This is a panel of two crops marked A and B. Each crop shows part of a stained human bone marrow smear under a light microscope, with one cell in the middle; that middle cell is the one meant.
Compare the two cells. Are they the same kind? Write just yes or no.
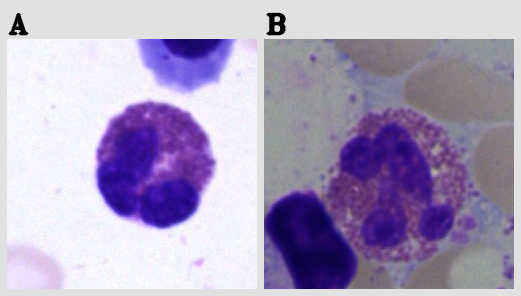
yes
